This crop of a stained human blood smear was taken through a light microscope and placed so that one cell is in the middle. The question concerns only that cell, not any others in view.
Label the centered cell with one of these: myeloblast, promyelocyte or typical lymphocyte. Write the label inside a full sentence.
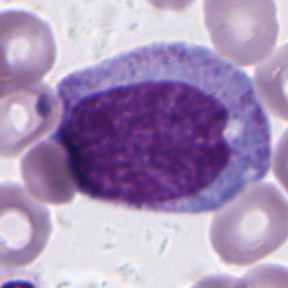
The cell of interest, in the center, is a promyelocyte.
